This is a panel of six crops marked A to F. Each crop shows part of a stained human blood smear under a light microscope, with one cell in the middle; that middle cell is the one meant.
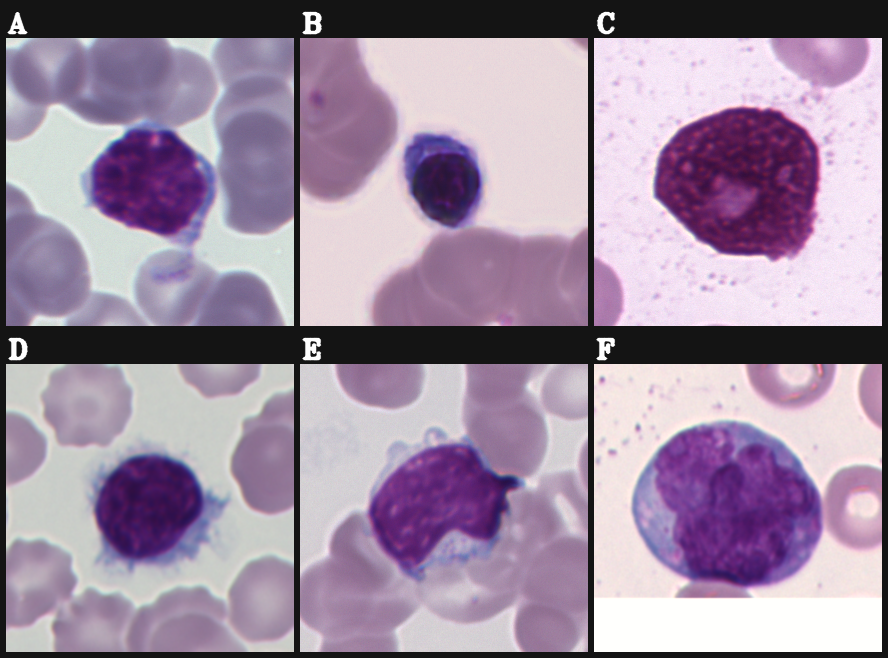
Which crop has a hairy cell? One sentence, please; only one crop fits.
The crop marked D is the one in which a hairy cell is shown.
